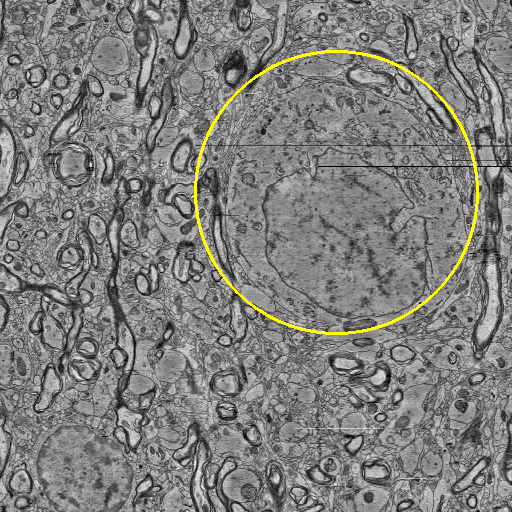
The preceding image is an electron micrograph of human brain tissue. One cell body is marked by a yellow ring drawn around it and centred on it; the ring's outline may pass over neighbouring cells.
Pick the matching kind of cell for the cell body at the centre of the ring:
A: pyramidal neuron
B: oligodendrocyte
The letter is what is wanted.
A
